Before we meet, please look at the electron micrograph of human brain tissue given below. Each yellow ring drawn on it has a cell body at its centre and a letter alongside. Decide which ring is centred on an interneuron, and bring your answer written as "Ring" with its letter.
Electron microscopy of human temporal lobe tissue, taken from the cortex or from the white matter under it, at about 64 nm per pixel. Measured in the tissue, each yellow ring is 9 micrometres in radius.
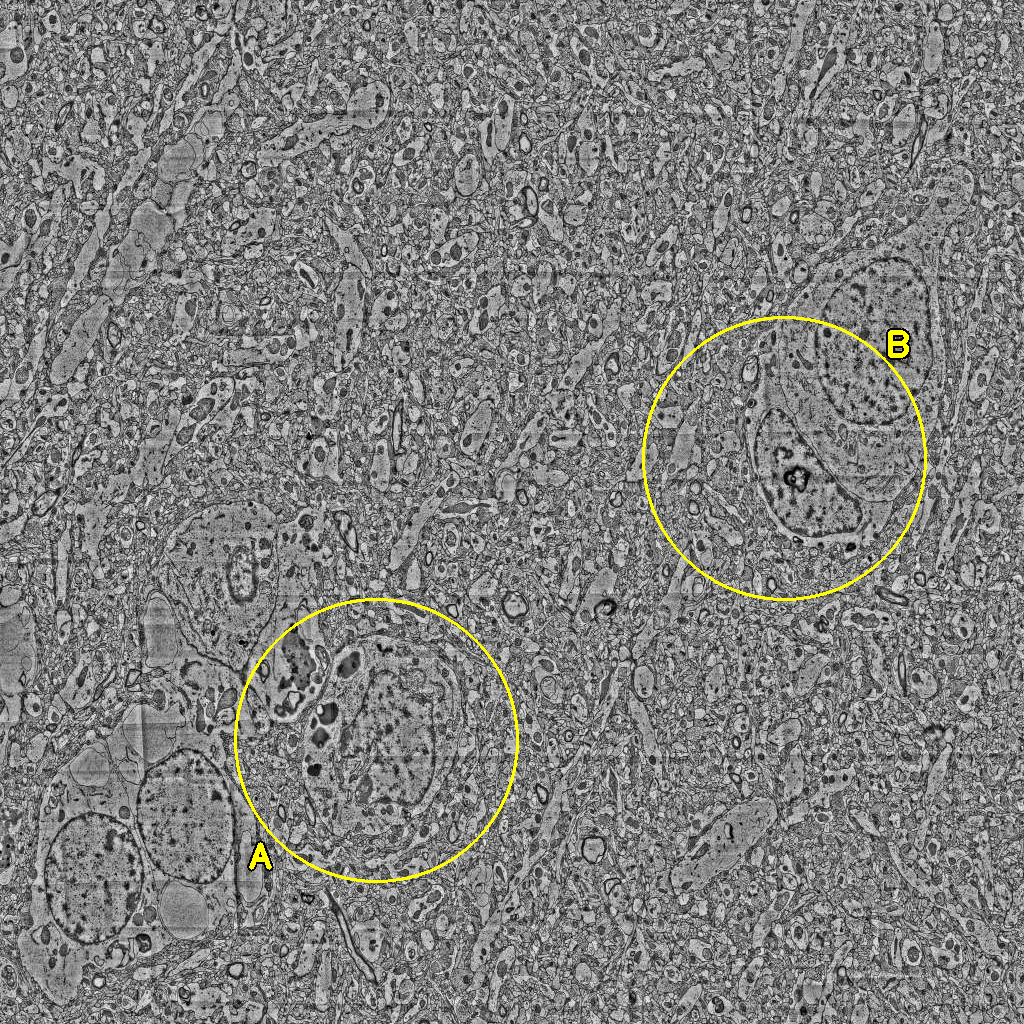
Ring A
